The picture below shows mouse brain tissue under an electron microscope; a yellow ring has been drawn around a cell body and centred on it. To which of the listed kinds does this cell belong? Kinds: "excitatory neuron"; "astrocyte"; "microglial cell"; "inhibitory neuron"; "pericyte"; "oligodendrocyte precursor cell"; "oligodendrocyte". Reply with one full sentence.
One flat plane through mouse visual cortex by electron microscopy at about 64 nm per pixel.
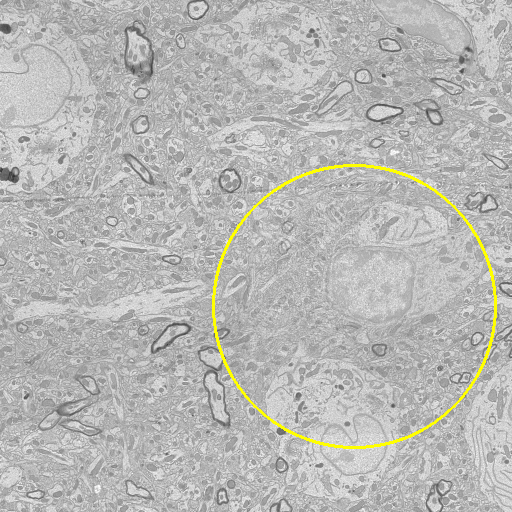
It is an oligodendrocyte that the yellow ring in the picture is centred on.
